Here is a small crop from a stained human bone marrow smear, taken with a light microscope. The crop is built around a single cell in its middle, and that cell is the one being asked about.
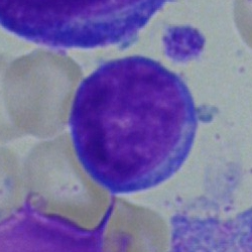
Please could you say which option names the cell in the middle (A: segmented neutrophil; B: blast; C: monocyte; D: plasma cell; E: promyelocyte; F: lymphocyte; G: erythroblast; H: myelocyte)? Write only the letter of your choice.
B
